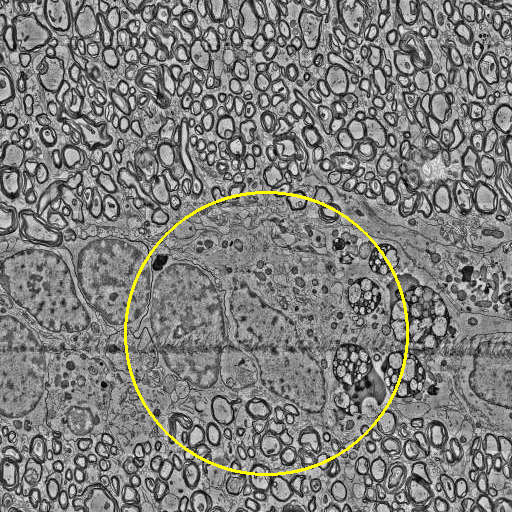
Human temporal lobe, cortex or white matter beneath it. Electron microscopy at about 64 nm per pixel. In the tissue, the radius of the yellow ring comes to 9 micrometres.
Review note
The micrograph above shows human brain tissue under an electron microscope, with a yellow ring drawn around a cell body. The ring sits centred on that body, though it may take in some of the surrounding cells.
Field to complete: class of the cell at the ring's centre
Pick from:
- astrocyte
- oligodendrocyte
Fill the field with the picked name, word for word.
astrocyte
